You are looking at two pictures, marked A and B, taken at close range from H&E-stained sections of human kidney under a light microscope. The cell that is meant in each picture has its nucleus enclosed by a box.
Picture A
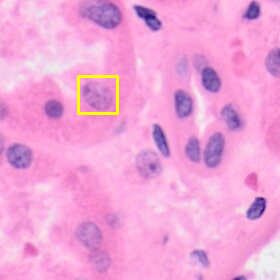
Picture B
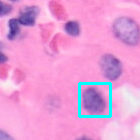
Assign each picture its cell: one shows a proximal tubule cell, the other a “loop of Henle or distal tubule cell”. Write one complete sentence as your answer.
Picture A shows a proximal tubule cell and picture B shows a “loop of Henle or distal tubule cell”.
